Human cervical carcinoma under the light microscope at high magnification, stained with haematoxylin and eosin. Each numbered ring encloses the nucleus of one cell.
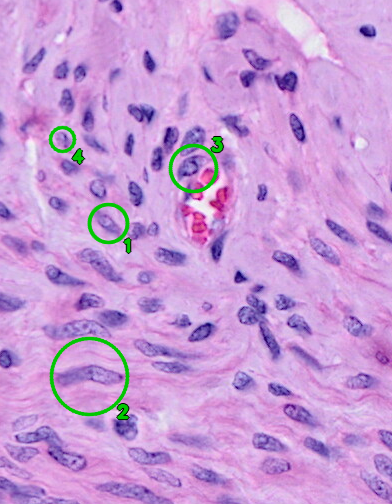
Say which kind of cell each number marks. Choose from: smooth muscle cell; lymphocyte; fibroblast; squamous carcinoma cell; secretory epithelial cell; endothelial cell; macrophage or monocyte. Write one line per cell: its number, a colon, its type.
1: smooth muscle cell
2: smooth muscle cell
3: endothelial cell
4: smooth muscle cell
